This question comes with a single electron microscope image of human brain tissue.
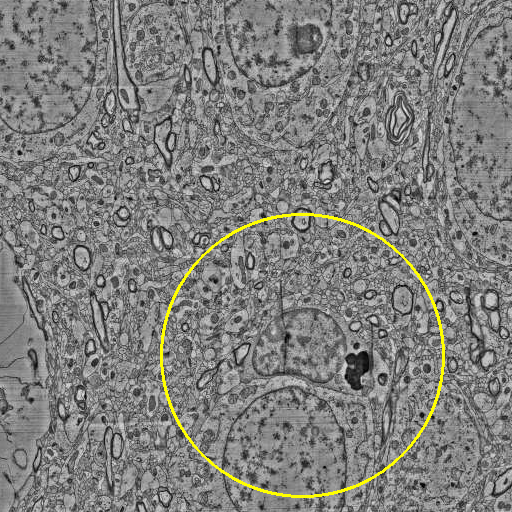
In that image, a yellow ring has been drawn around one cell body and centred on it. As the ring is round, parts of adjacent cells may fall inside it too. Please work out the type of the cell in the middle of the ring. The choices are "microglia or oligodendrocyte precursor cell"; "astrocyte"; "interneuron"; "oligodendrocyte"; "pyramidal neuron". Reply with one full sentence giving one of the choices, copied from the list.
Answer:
Of the choices, an oligodendrocyte is the cell sitting in the middle of the ring.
